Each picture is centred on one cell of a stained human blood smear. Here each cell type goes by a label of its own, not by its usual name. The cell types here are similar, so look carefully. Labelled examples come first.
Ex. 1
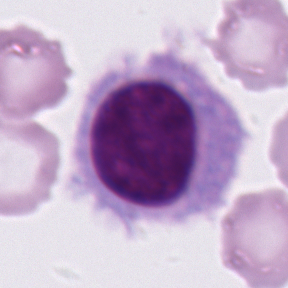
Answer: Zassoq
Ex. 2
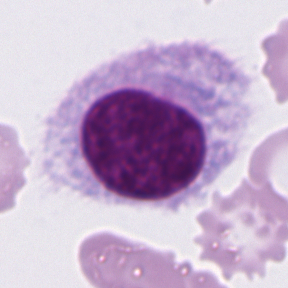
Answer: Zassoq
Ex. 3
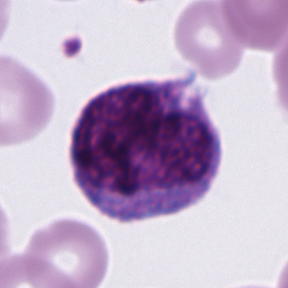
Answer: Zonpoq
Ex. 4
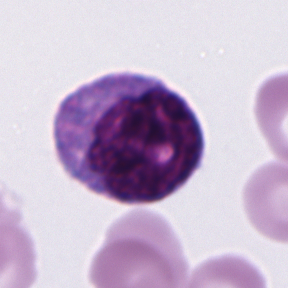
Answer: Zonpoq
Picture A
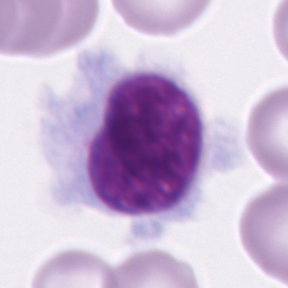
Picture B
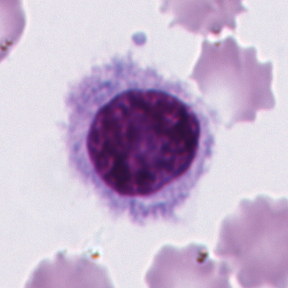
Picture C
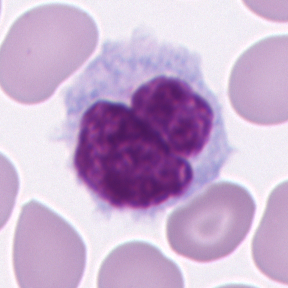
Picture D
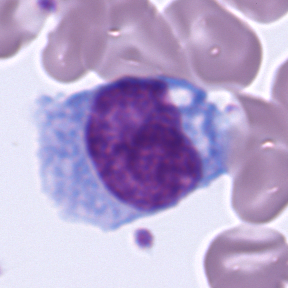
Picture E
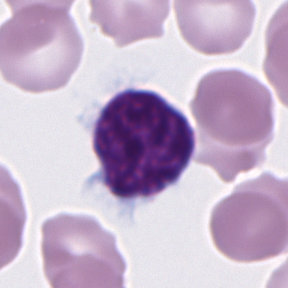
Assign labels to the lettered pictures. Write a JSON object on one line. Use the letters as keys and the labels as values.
{"A": "Zassoq", "B": "Zassoq", "C": "Zassoq", "D": "Zonpoq", "E": "Zassoq"}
